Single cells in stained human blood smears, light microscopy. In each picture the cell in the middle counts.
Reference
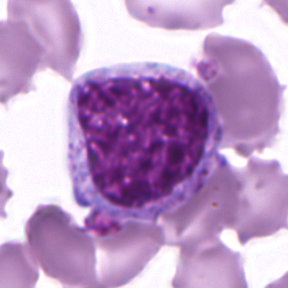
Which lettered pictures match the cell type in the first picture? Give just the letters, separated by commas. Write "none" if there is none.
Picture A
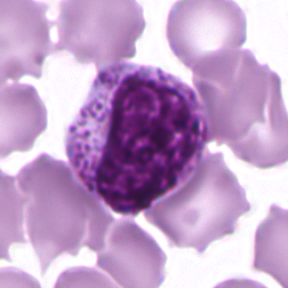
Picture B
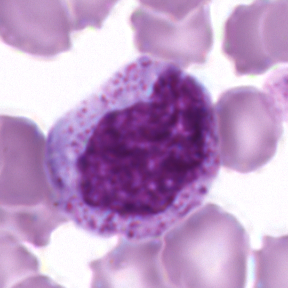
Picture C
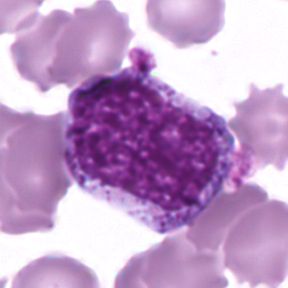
B, C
